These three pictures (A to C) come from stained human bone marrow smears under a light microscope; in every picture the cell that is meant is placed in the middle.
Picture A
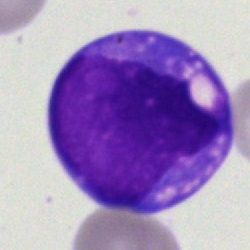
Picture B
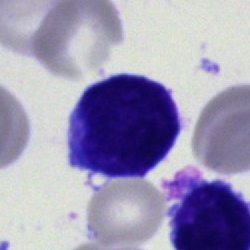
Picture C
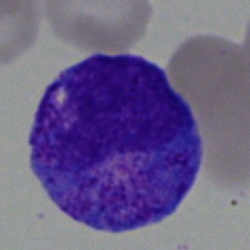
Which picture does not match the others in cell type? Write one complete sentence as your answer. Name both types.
The others show blasts, but picture C shows a promyelocyte.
